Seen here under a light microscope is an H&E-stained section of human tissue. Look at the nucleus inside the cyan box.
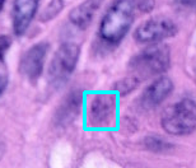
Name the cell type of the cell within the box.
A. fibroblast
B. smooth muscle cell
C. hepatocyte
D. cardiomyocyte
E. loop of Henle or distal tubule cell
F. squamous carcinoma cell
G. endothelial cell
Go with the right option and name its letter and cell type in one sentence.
In short, option F: the cell within the box is a squamous carcinoma cell.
